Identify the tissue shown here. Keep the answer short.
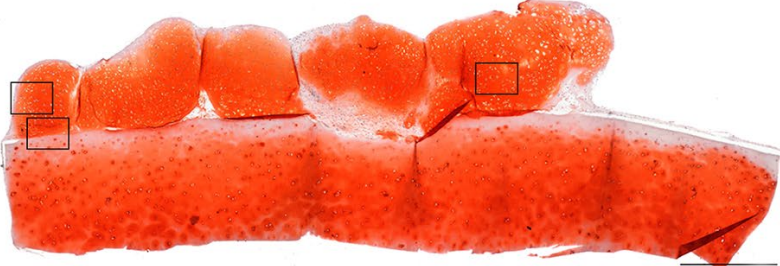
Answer: Cartilage.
